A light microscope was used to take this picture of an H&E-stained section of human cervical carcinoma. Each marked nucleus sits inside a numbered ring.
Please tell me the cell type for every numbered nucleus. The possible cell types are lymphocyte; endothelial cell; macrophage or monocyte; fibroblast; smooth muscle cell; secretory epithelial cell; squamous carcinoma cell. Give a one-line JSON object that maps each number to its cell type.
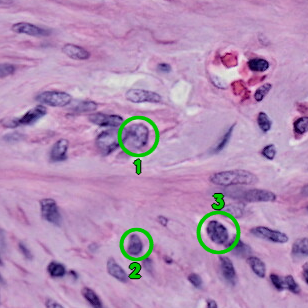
{"1": "endothelial cell", "2": "smooth muscle cell", "3": "lymphocyte"}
